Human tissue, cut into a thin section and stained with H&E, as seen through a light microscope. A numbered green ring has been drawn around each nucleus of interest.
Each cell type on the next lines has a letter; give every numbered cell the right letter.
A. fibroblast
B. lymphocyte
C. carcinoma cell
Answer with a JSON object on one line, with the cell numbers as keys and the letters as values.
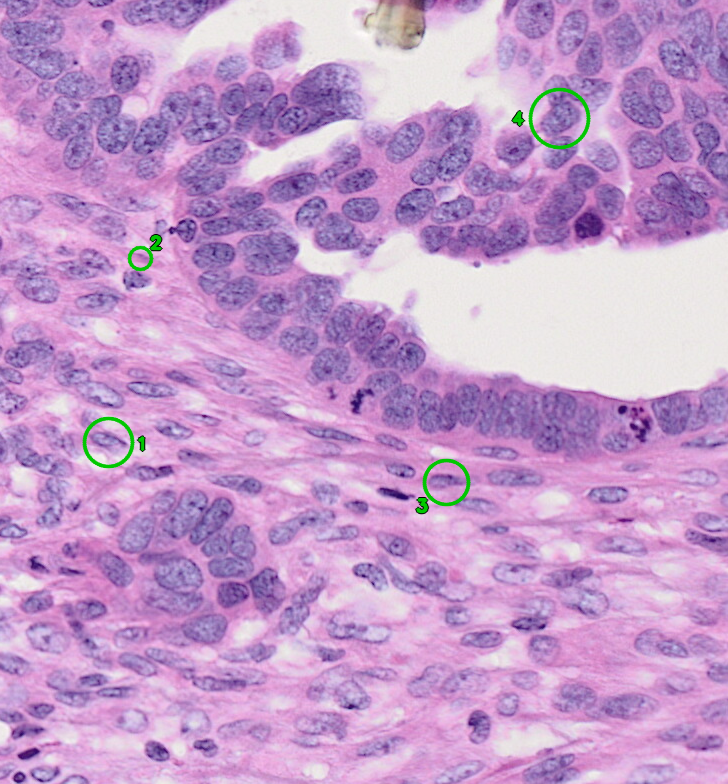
{"1": "A", "2": "A", "3": "A", "4": "C"}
